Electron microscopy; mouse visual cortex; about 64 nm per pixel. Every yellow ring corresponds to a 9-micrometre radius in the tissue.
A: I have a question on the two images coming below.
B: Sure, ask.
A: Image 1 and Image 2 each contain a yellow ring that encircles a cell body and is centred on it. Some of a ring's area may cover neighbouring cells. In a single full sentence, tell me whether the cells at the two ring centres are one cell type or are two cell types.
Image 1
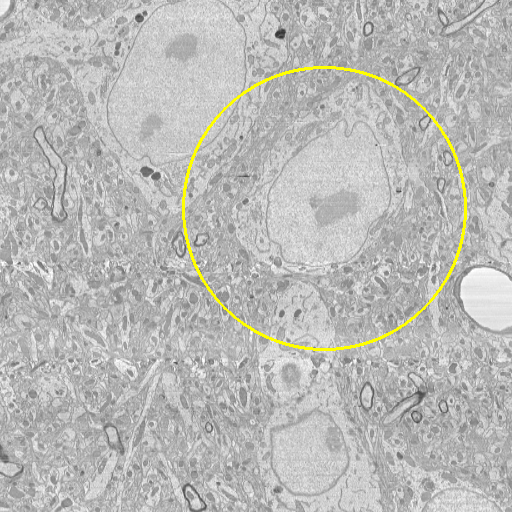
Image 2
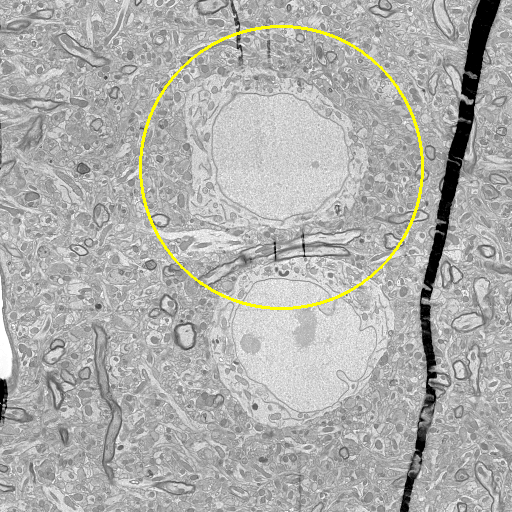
As for the ring-centre cells, the one in Image 1 and the one in Image 2 are one cell type.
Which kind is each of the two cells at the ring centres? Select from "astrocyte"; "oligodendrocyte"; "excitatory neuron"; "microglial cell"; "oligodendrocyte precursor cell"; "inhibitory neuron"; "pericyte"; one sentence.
Each of the two pictures has an excitatory neuron at the ring centre.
